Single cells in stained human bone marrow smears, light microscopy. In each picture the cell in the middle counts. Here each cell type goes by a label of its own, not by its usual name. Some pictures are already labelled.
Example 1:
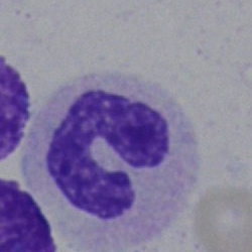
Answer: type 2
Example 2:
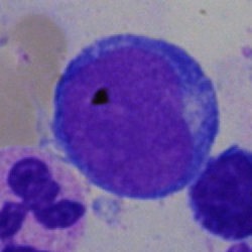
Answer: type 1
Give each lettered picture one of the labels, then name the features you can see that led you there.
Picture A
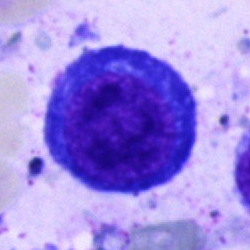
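type 1. The chromatin is purple and finely granular rather than coarsely clumped.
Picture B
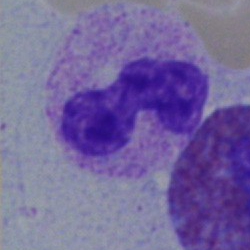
type 2. The cytoplasm is plentiful and pale pinkish-lilac.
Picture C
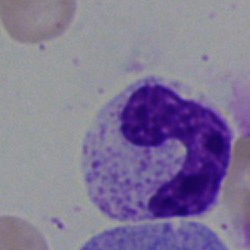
type 2. The nucleus is bent into a curved C shape with its hollow opening toward the left.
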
